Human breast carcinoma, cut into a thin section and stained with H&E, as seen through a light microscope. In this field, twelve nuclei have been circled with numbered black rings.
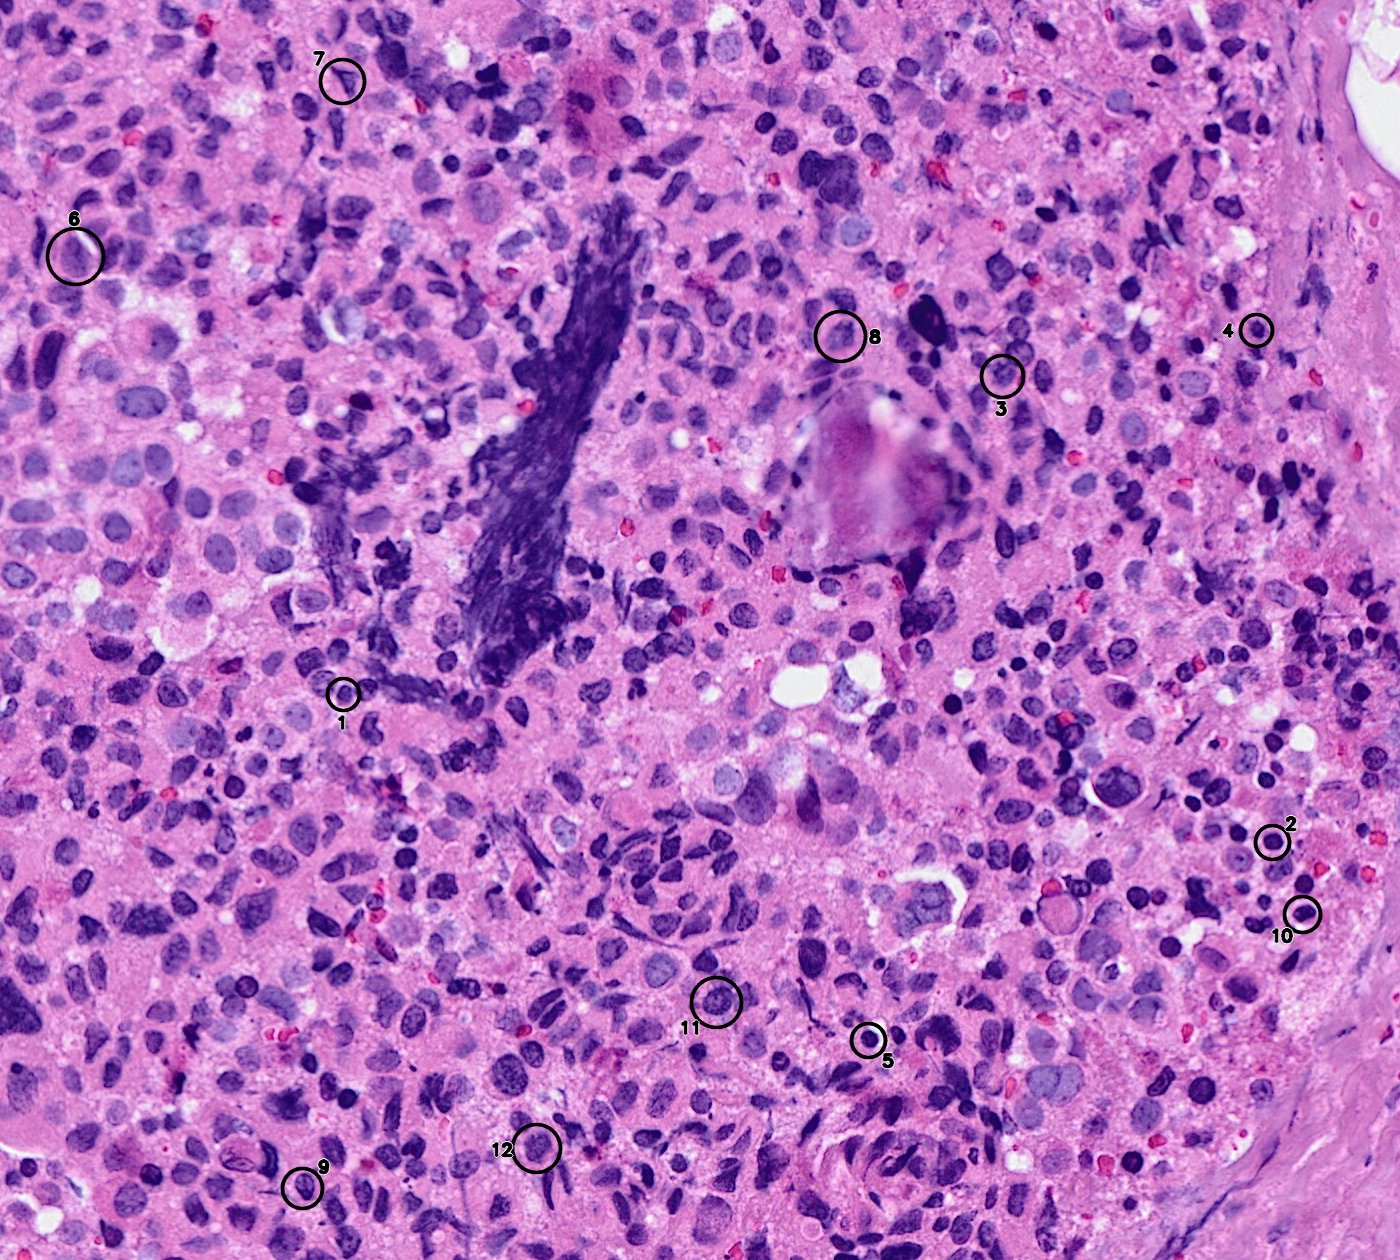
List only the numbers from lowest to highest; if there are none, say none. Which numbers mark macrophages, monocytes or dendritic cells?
none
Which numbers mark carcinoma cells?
3, 6, 7, 8, 9, 11, 12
